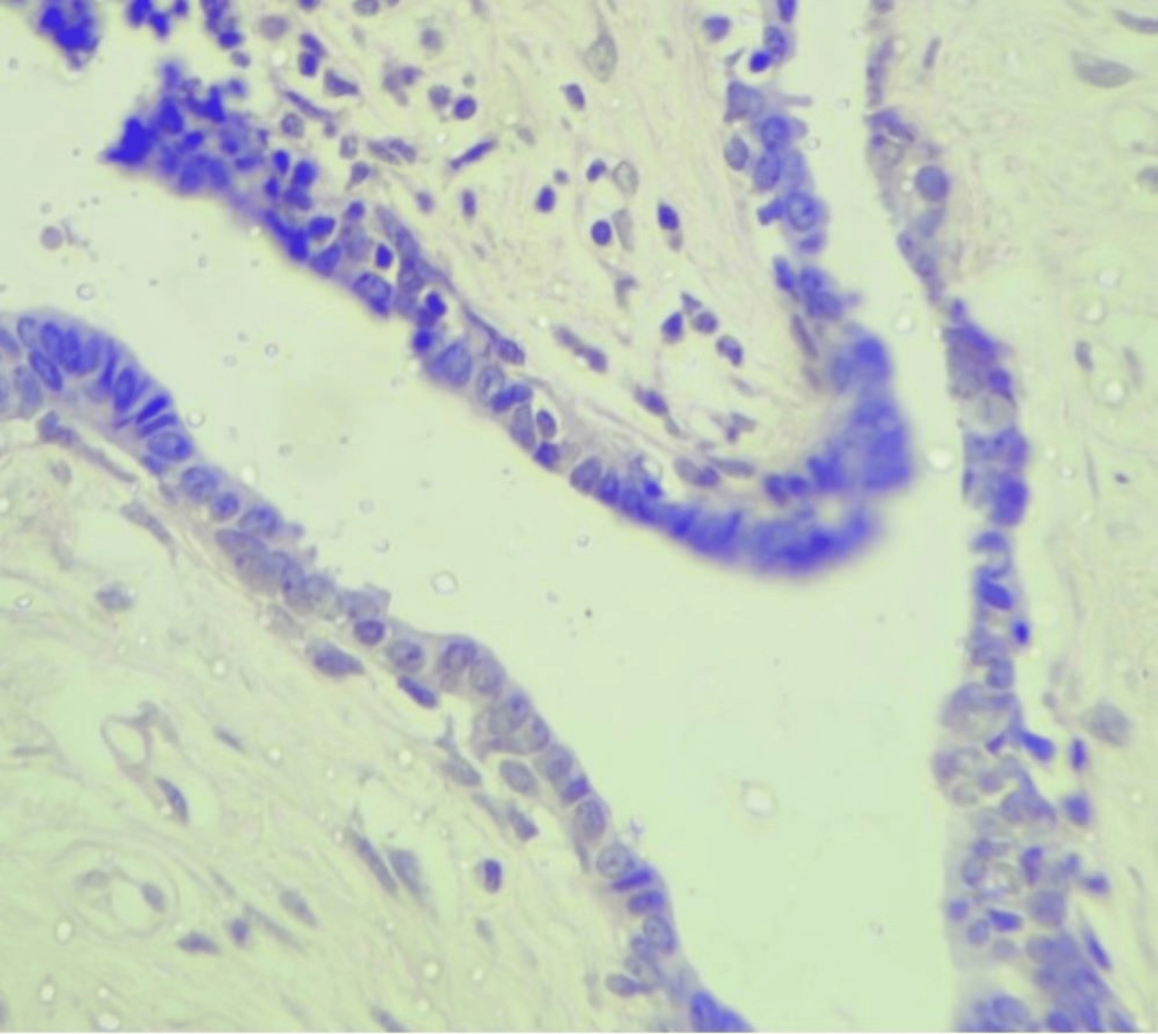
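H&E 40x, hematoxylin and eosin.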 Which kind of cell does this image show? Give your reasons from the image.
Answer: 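The cells lining the spaces are as tall as or taller than wide.
Inner cuboidal to columnar epithelium.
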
